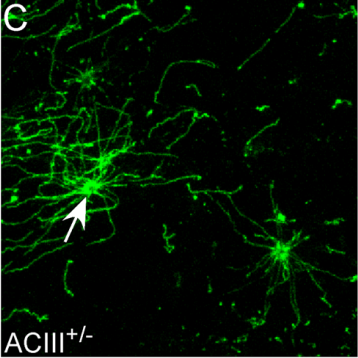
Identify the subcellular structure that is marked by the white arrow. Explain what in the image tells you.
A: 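Dendritic knobs. The arrow points to a bright compact spot. Numerous long thin processes radiate from the spot in a star-like pattern.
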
